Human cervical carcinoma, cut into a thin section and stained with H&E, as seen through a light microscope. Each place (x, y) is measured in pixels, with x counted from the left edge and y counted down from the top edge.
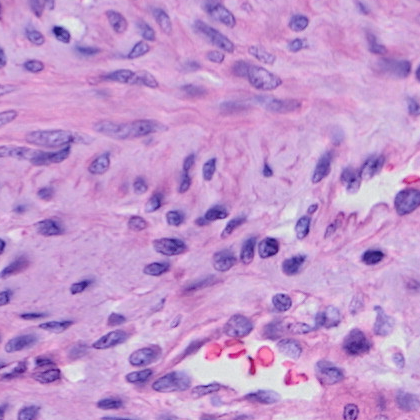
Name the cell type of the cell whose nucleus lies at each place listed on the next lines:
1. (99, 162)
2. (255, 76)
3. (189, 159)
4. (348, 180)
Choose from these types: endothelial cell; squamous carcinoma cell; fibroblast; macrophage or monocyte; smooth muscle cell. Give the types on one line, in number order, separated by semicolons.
smooth muscle cell; smooth muscle cell; smooth muscle cell; endothelial cell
